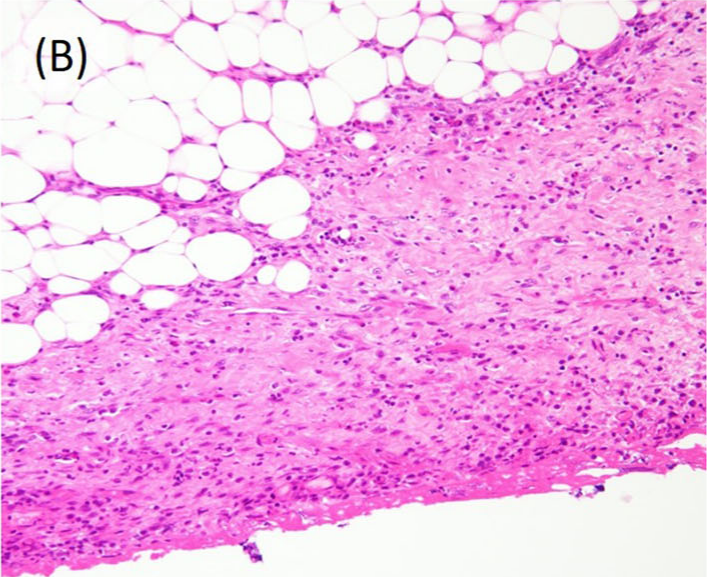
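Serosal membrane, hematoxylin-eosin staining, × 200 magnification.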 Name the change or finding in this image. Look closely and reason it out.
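Many small dark nuclei are scattered densely through the tissue below the fat. The infiltrate lies in pink fibrillar material at the outer surface beneath adipose tissue. So: Inflammatory cell infiltration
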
